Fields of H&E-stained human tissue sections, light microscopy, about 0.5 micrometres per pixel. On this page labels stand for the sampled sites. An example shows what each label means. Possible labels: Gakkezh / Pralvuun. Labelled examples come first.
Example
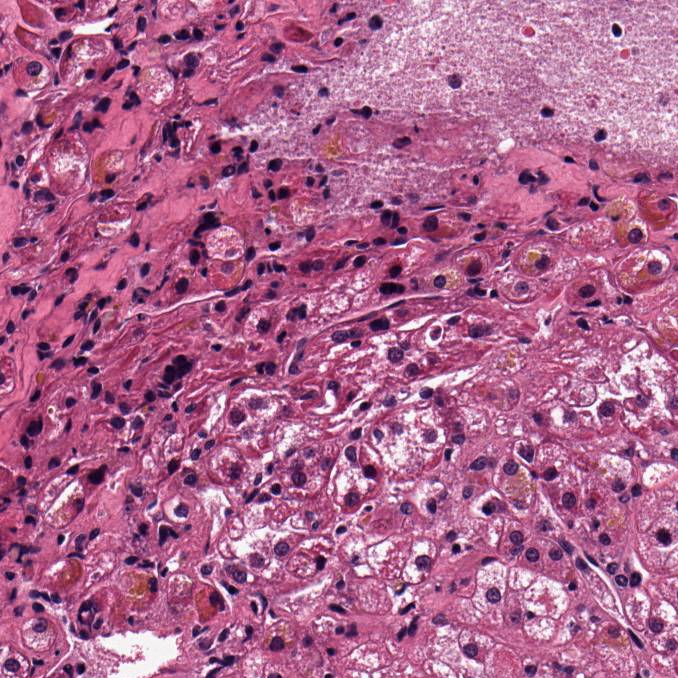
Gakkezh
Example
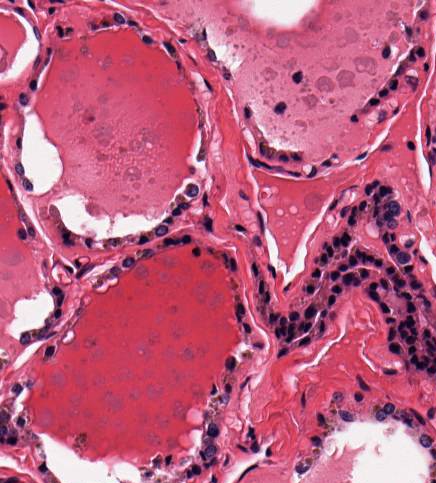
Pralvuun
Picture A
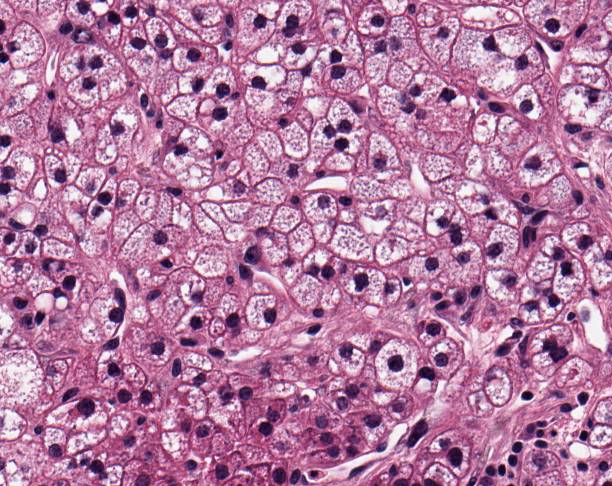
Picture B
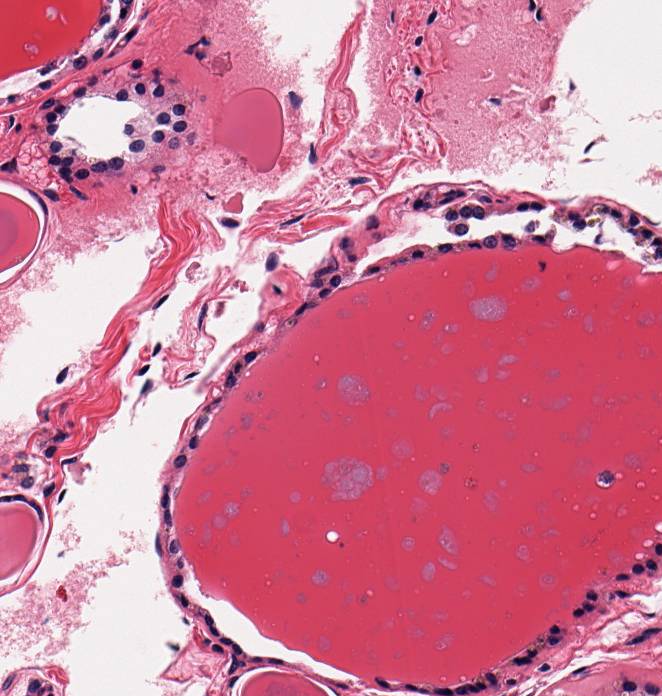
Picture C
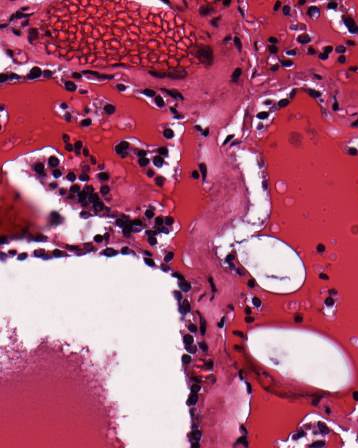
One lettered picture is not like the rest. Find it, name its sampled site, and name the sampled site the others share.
A (Gakkezh) is the exception; every other picture is Pralvuun.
